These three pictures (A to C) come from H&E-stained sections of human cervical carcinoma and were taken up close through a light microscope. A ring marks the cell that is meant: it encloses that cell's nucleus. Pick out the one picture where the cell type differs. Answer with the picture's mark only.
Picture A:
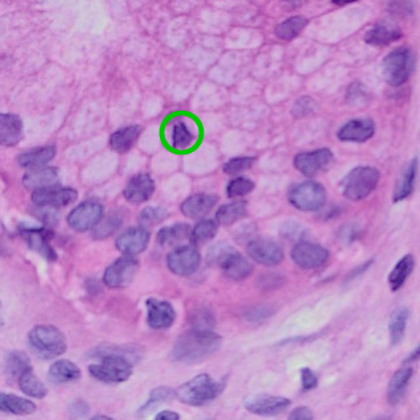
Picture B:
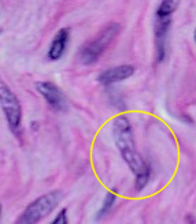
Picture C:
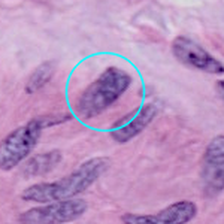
A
